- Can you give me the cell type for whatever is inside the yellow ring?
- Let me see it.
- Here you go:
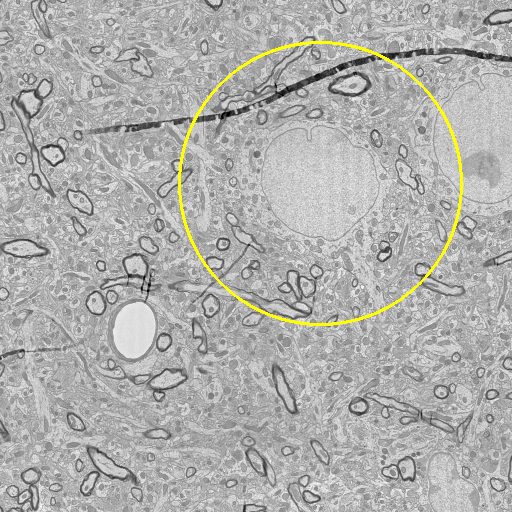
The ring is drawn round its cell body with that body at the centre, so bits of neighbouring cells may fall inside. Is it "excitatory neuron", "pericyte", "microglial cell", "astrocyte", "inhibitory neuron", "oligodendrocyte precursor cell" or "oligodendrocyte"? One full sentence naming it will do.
The cell body in the middle of the ring in this picture belongs to an excitatory neuron.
